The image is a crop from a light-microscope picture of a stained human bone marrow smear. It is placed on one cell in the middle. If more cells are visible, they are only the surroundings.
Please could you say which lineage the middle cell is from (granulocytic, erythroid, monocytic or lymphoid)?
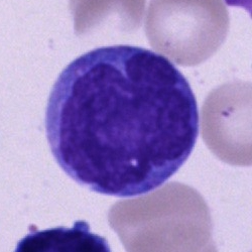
monocytic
